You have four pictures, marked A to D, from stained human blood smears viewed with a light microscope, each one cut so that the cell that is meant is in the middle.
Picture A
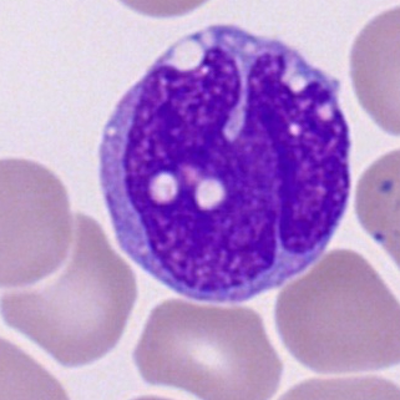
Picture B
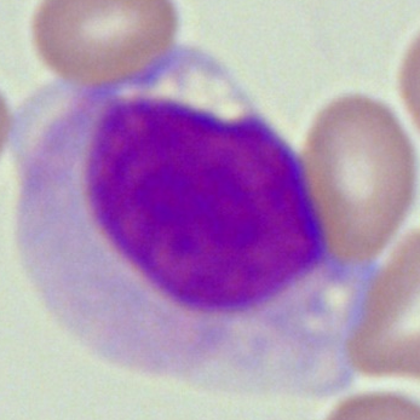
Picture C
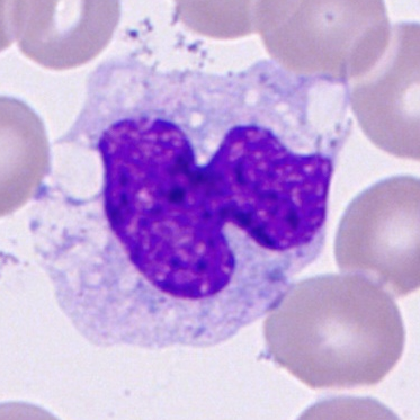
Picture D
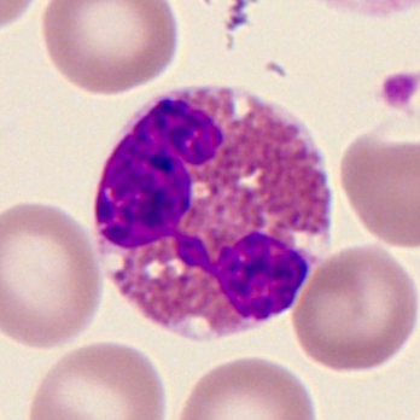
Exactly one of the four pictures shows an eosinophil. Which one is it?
D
